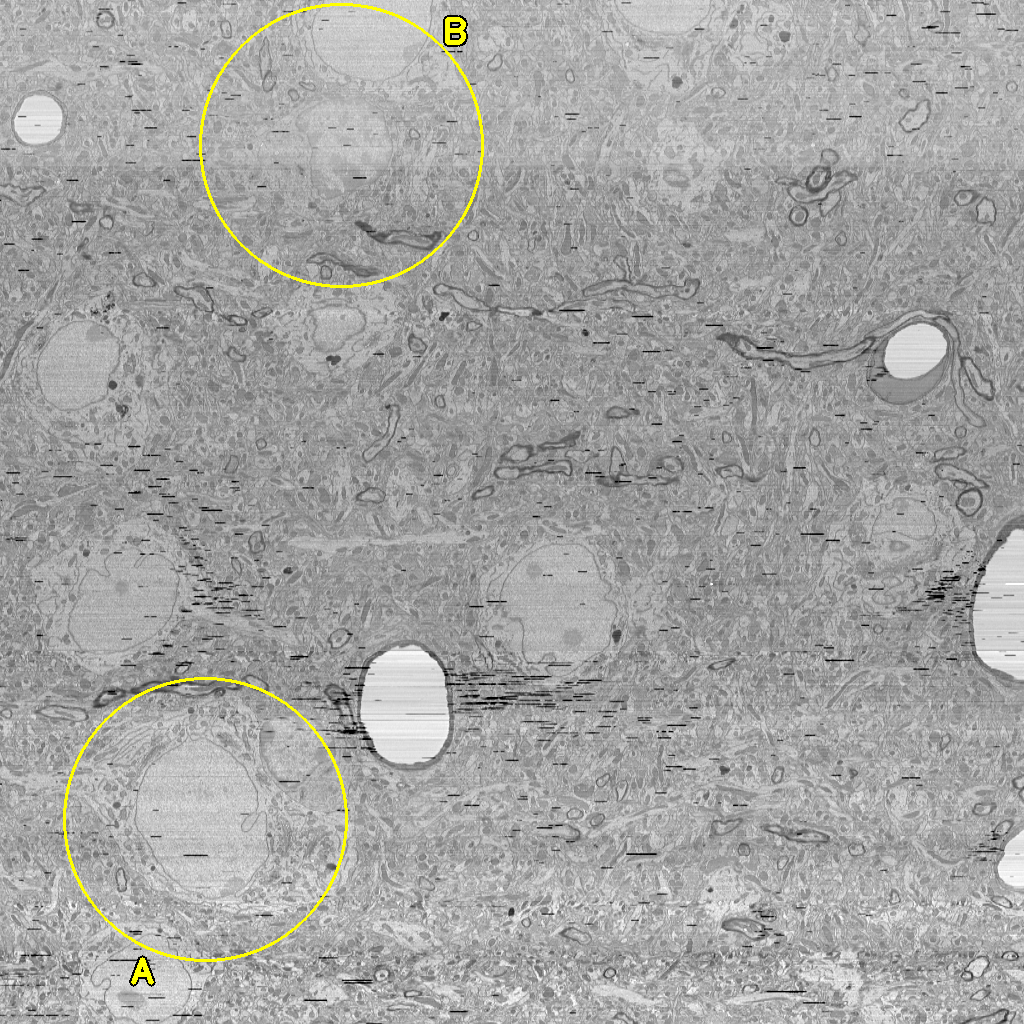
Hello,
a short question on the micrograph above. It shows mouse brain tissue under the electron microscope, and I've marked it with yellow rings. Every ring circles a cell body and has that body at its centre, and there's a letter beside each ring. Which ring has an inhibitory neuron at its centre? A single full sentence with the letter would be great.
The cell you asked about sits at the centre of ring A.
